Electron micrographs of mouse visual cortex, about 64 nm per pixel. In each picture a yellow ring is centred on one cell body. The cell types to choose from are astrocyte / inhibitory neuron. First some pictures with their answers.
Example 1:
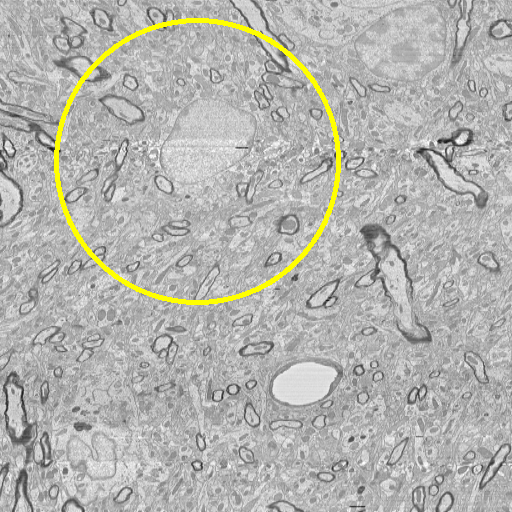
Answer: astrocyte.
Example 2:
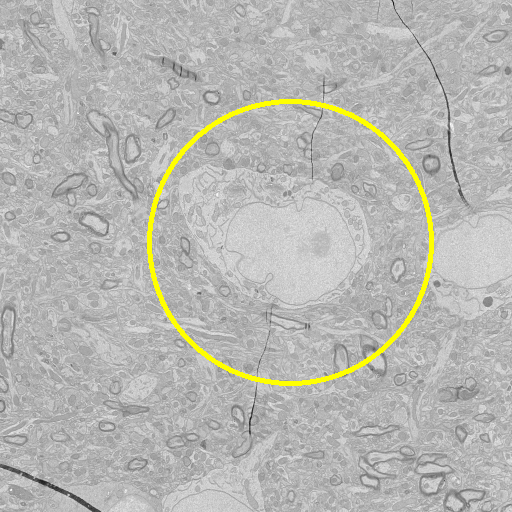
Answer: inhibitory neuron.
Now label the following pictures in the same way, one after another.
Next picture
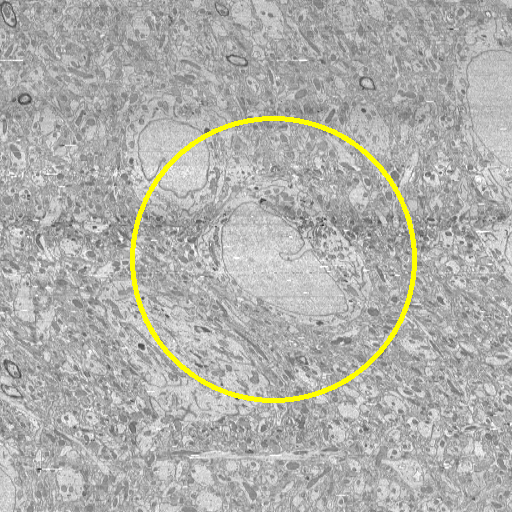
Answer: inhibitory neuron.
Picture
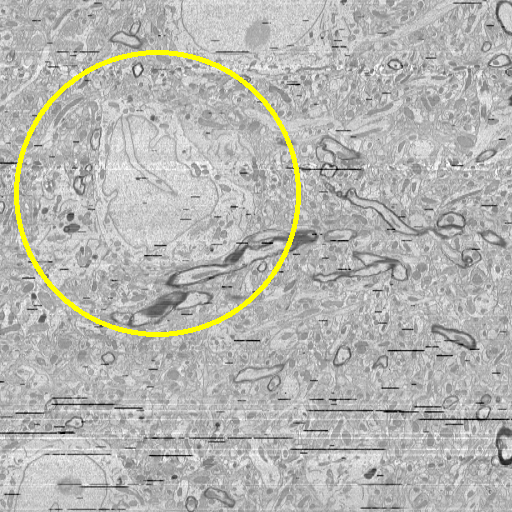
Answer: inhibitory neuron.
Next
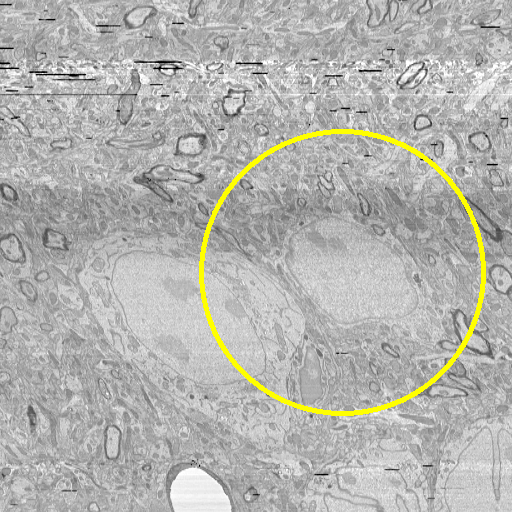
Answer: astrocyte.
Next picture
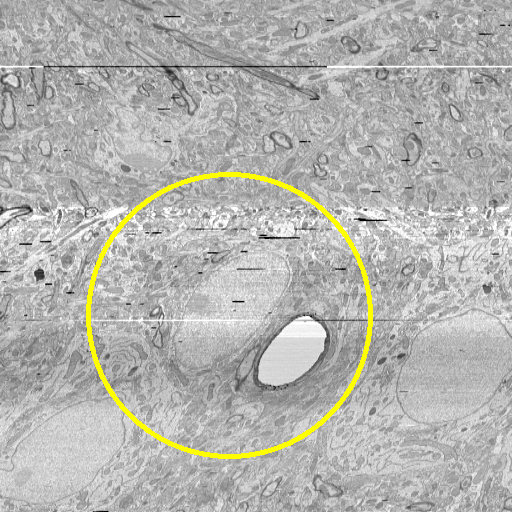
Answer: astrocyte.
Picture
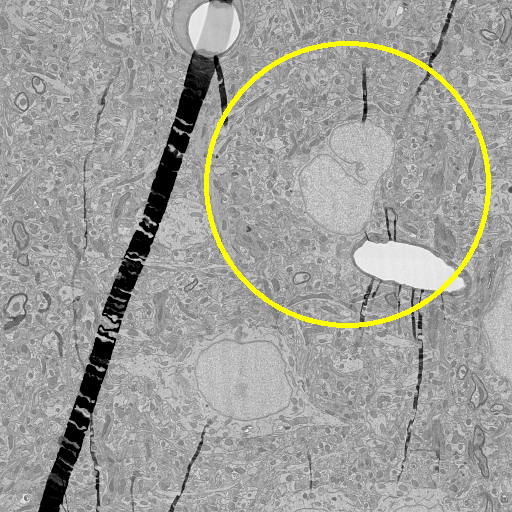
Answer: astrocyte.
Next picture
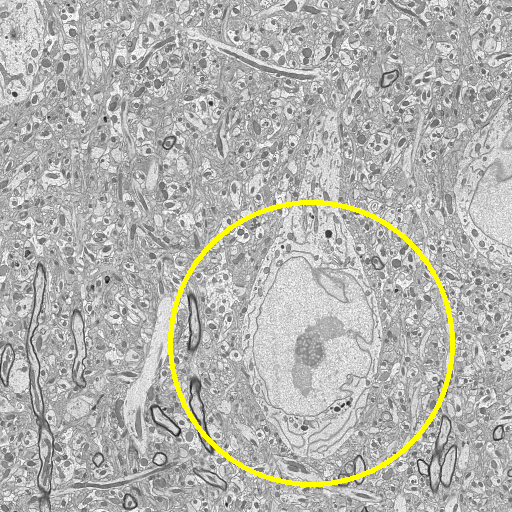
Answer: inhibitory neuron.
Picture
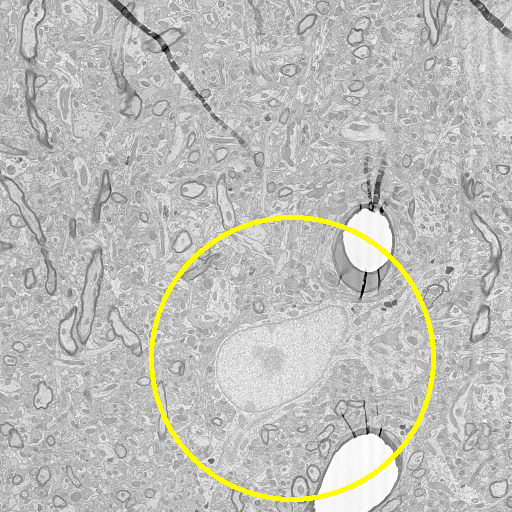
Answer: astrocyte.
